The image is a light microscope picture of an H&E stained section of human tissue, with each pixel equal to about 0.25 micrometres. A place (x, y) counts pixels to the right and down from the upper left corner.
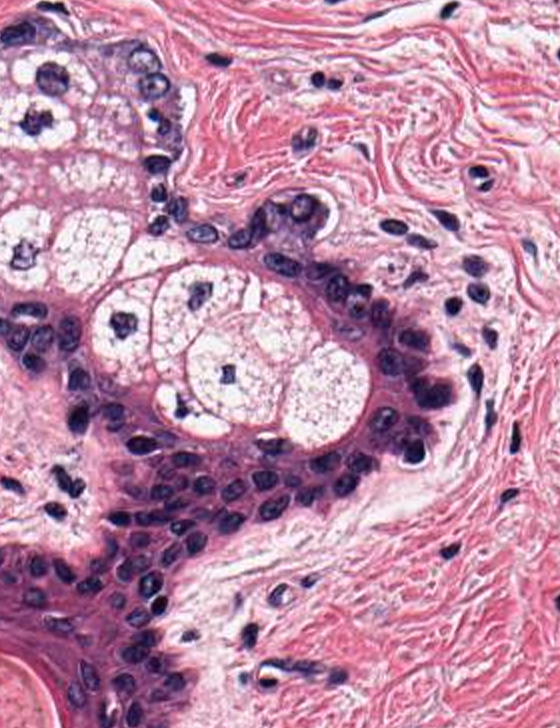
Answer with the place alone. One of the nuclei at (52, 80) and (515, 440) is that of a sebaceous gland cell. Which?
(52, 80)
